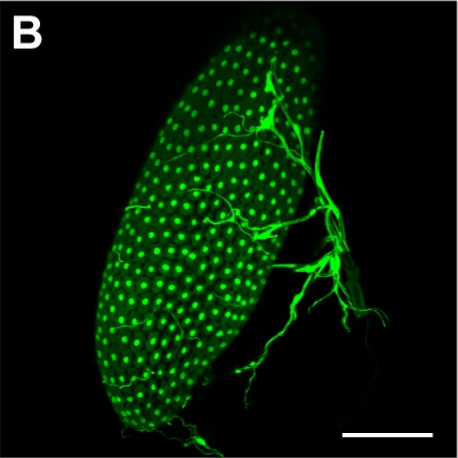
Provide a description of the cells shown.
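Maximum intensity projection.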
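Elongated egg chamber covered by a single even layer of follicle cell nuclei shown as small round green dots. The nuclei are spaced regularly over the whole surface. To the right, thin branching green tubes of respiratory tracheae run alongside and over the egg chamber. Fine tracheal branches cross the surface of the follicle layer.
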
